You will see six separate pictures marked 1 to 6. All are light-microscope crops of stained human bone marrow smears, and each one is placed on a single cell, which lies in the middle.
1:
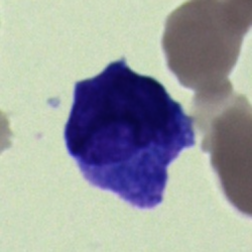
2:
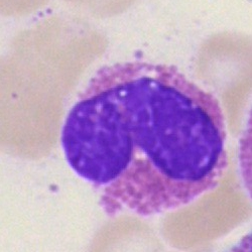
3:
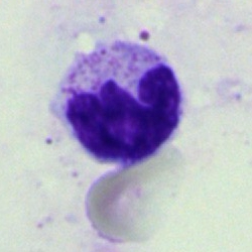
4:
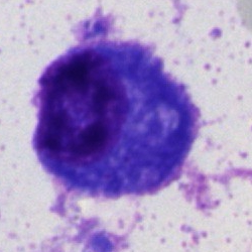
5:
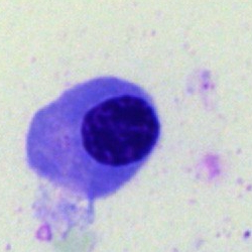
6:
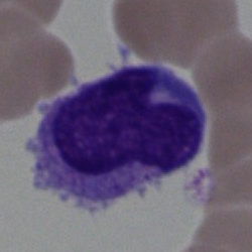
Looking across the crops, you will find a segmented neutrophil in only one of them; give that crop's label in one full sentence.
Crop 3 is where a segmented neutrophil is shown.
